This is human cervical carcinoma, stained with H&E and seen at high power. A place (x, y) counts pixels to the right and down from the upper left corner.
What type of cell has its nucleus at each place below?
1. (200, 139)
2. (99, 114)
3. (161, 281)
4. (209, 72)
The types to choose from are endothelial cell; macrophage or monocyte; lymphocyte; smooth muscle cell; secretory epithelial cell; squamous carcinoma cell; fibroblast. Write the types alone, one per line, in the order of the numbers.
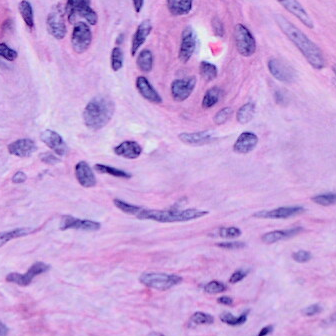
smooth muscle cell
fibroblast
smooth muscle cell
endothelial cell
